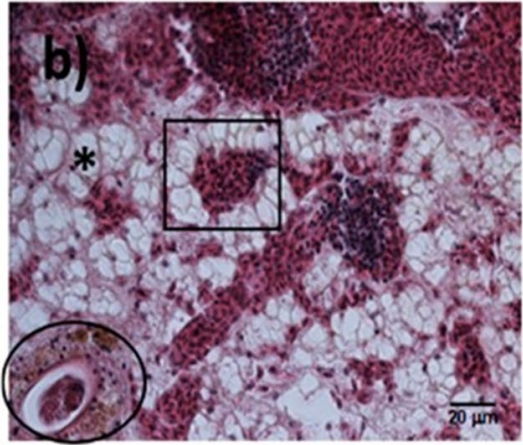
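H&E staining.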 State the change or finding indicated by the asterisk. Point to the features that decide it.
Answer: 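Severe fatty degeneration. Numerous large clear empty vacuoles. Vacuoles fill the cells, leaving thin pink strands between them.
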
